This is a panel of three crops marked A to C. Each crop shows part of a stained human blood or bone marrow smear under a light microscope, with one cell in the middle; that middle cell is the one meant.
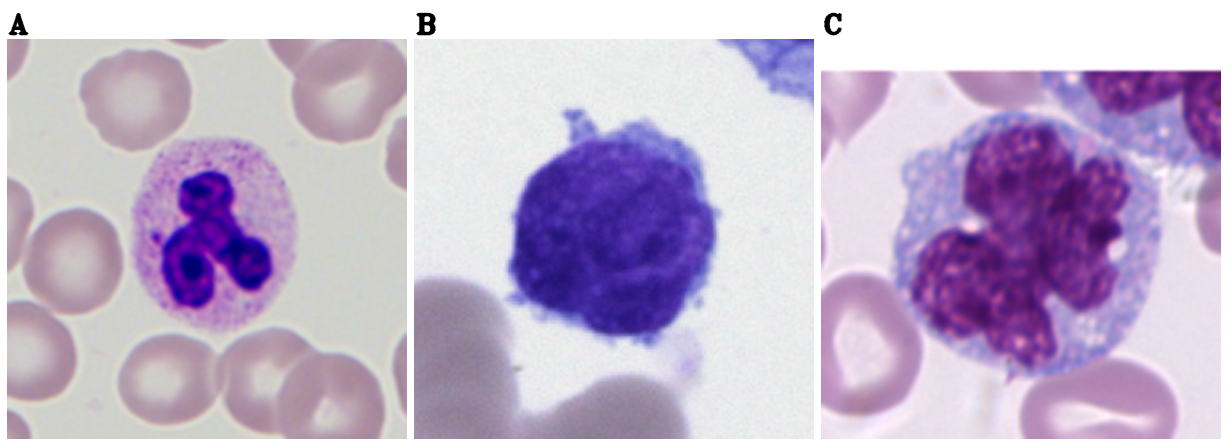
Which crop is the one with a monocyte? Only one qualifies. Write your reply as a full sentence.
Crop C is the one in this set that shows a monocyte.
